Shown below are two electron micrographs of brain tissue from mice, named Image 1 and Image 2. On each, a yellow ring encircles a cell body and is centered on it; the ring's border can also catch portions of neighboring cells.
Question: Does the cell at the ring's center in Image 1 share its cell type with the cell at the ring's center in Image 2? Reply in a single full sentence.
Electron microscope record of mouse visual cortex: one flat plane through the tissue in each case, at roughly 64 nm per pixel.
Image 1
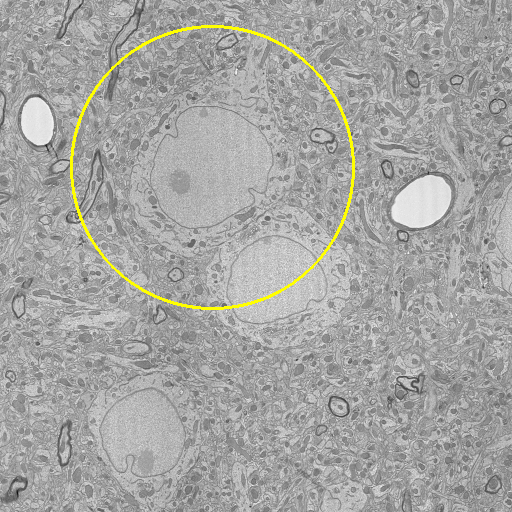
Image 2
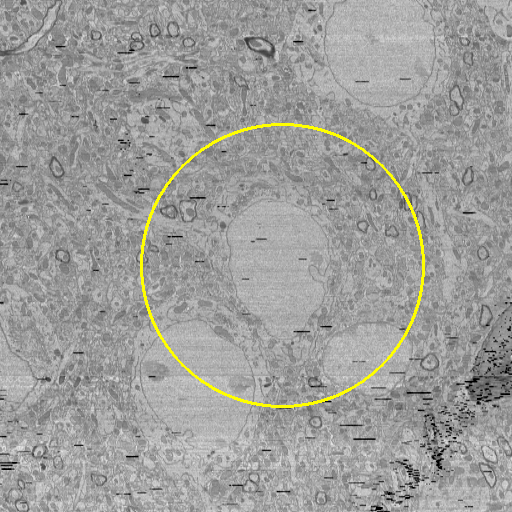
Yes, the two cells at the ring centers, in Image 1 and Image 2, share one cell type.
